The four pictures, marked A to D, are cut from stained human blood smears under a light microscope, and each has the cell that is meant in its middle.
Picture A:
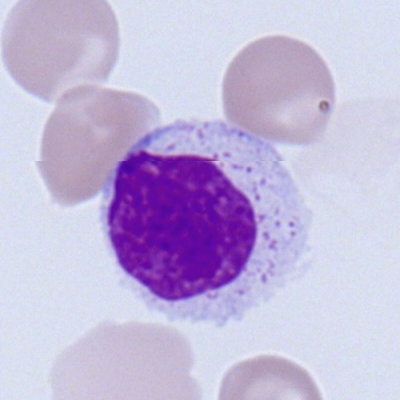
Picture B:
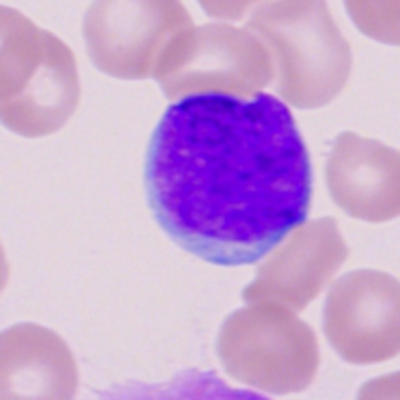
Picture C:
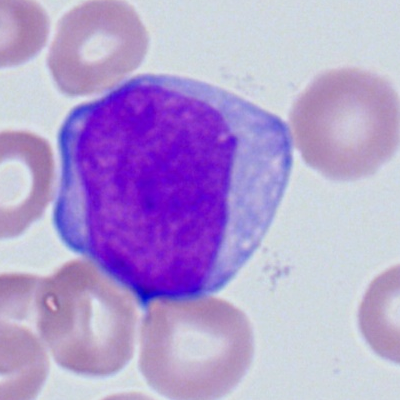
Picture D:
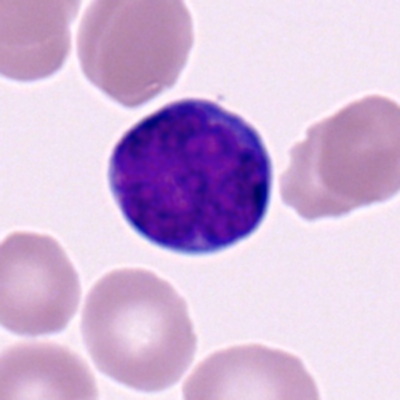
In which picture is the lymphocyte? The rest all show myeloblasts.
A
